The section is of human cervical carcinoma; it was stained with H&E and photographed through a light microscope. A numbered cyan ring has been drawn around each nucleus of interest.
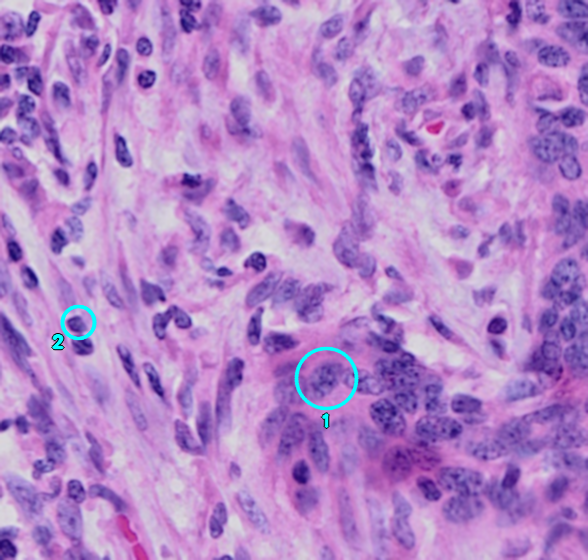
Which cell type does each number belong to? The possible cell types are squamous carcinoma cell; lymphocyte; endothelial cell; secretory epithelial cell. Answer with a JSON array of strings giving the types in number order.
["squamous carcinoma cell", "lymphocyte"]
